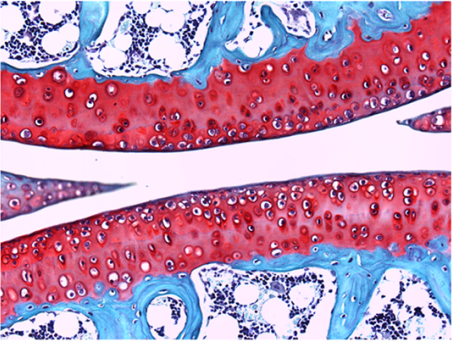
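Articular cartilage of two opposing joint surfaces across a narrow white joint space, with chondrocytes in lacunae throughout. In both cartilage bands the matrix stains intensely red almost throughout its thickness. Chondrocytes are rounded, sit in clear lacunae, and are distributed singly and in small groups, flatter near the surface and rounder deeper. Turquoise-staining bone underlies each cartilage band, and beyond it lie marrow spaces with many small dark-nucleated cells and numerous empty round fat spaces.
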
